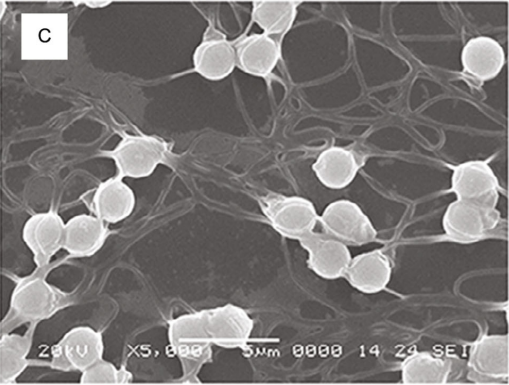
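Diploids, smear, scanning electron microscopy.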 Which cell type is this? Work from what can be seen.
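Spermatozoa. Numerous rounded heads of uniform small size lying singly and in clusters. Thin long tails arising from the heads form a dense tangled network.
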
